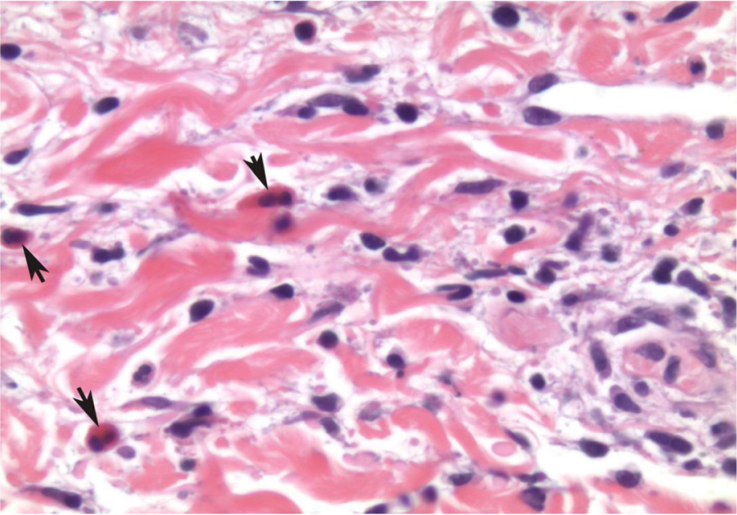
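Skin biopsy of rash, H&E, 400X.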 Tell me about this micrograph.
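This is the upper dermis at high power, with an inflammatory infiltrate lying among the collagen. The collagen bundles are wavy and bright pink and separated by pale spaces. Several cells have bright red-pink cytoplasm and small dark nuclei; these are eosinophils. Other cells in the infiltrate are small round cells with dark, dense nuclei and very little cytoplasm, which are lymphocytes. There are also elongated spindle-shaped nuclei of the connective tissue cells. Small capillaries with plump lining cells lie nearby. Their walls show no smudgy, bright pink deposits, so the vessel walls appear intact.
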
